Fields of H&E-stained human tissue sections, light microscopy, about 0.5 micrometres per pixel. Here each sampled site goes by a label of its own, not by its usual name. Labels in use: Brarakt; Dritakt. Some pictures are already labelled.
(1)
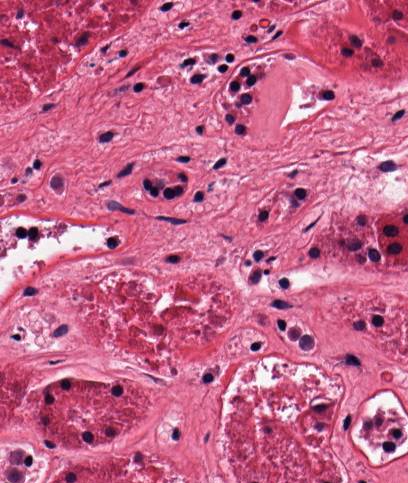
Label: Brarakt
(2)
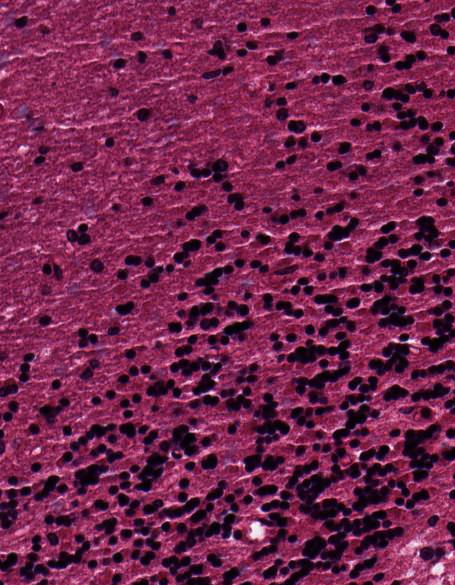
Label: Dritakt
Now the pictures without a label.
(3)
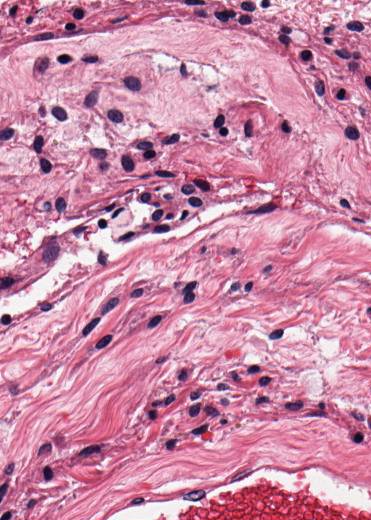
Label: Dritakt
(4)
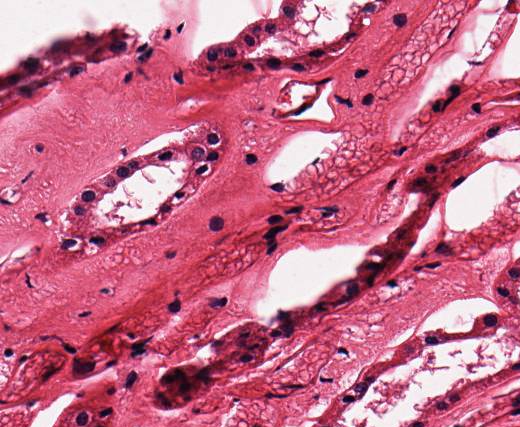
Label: Brarakt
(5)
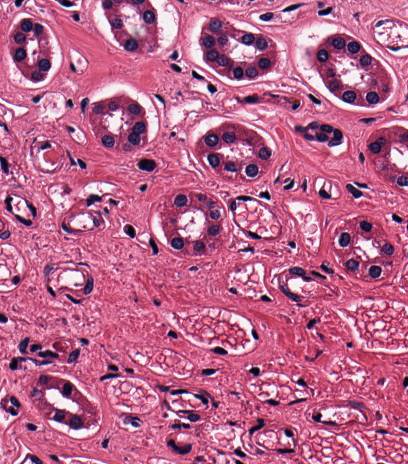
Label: Brarakt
